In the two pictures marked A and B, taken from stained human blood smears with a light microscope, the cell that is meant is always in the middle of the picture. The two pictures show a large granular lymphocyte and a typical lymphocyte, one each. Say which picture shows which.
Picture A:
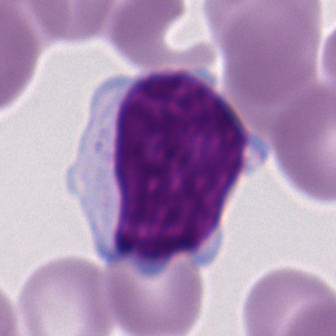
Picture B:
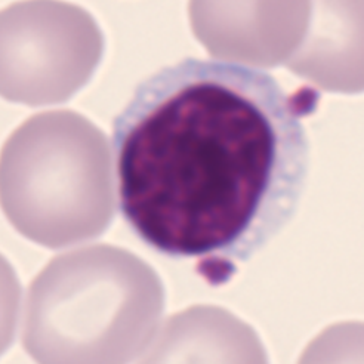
A: large granular lymphocyte
B: typical lymphocyte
